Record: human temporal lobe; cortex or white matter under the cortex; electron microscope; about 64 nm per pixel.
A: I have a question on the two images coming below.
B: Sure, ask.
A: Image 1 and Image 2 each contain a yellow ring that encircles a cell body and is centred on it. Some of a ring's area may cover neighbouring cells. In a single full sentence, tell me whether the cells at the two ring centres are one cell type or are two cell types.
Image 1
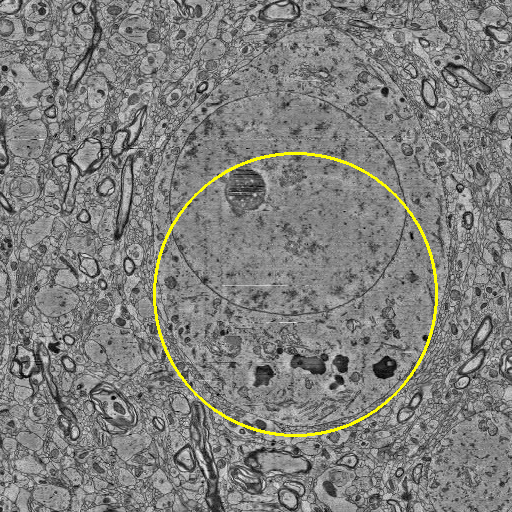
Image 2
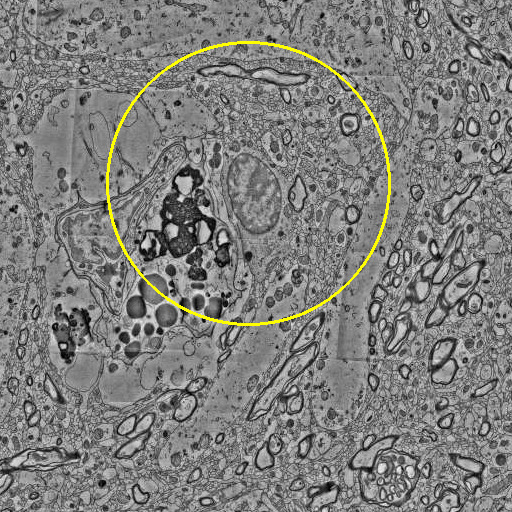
As for the ring-centre cells, the one in Image 1 and the one in Image 2 are two cell types.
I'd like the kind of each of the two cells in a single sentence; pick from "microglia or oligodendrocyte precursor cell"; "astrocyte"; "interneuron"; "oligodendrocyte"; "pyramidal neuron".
The first ring marks a pyramidal neuron, and the second ring marks an oligodendrocyte.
